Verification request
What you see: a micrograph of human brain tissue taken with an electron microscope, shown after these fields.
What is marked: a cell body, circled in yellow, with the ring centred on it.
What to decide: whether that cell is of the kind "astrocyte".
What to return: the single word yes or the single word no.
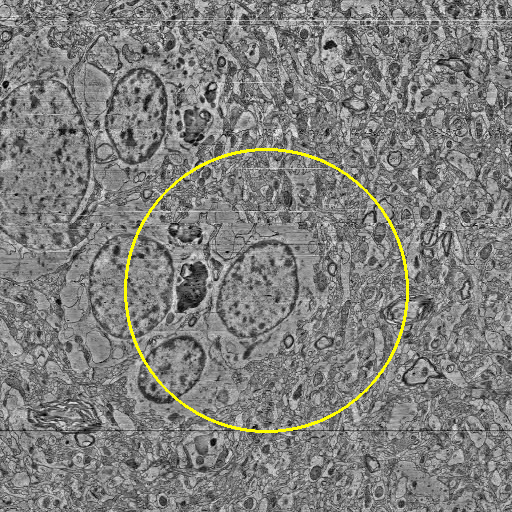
yes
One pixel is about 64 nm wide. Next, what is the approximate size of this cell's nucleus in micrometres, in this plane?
In this plane, about 7 micrometres in length and 5 in width.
